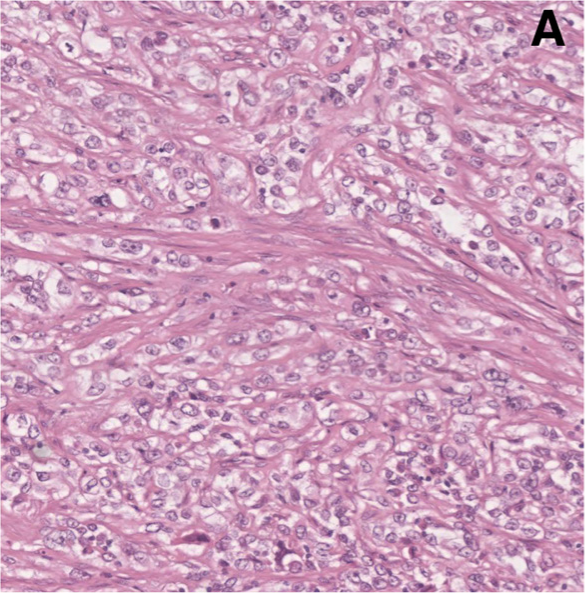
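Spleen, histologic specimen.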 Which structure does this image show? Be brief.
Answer: Solid nests and cords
